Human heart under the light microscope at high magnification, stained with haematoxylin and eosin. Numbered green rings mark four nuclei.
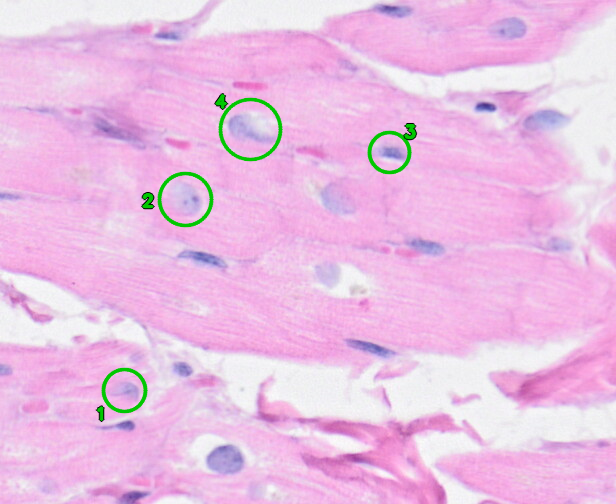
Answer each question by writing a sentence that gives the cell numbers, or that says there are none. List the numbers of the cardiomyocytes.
The cells shown with numbers 1, 2 and 4 are cardiomyocytes.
